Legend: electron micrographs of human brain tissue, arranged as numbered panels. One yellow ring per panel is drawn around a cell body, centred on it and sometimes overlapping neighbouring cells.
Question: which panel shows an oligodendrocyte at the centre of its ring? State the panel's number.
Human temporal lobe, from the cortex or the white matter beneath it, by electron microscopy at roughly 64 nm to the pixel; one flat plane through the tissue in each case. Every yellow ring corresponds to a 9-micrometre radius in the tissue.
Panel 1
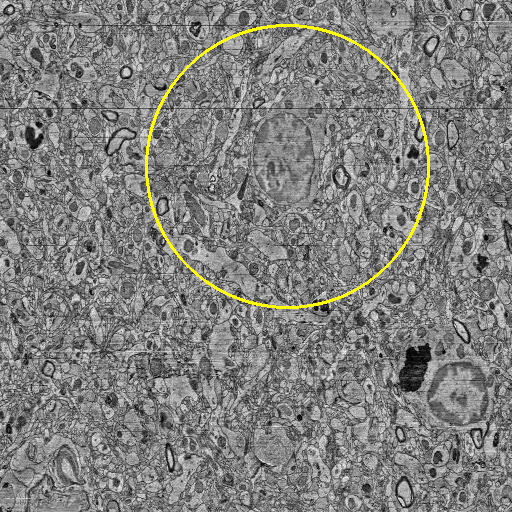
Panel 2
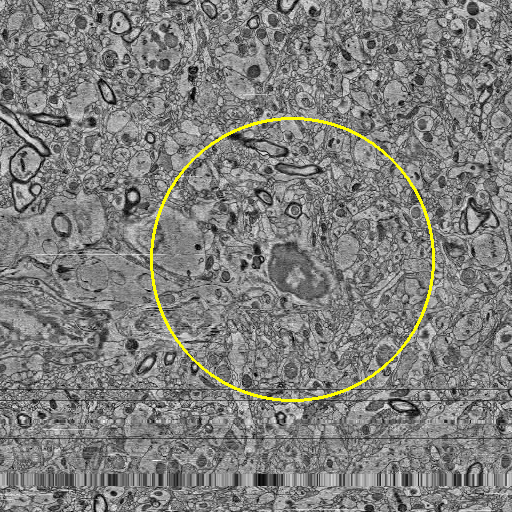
1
